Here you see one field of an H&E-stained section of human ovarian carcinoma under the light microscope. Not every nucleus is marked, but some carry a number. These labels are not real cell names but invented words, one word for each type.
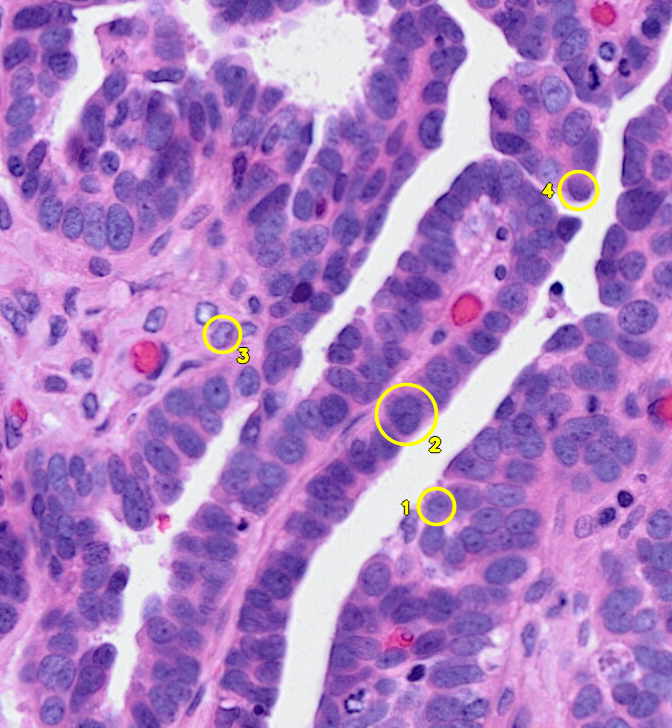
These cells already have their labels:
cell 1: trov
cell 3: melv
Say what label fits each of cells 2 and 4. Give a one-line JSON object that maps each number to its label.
{"2": "trov", "4": "trov"}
